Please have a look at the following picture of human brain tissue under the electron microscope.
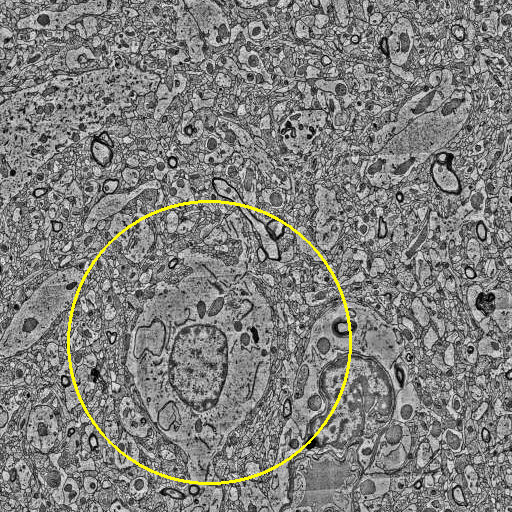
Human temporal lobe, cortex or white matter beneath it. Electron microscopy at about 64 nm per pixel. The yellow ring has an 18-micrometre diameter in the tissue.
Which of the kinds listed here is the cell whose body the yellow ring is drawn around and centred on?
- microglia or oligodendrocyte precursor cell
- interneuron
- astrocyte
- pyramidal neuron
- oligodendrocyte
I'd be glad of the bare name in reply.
astrocyte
